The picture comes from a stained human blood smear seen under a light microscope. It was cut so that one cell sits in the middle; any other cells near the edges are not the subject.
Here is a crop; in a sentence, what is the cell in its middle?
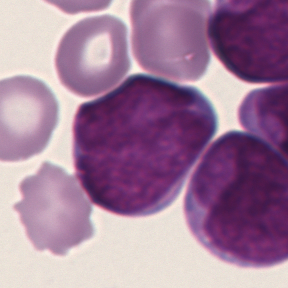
To answer, the cell in the center of the crop is a blast.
